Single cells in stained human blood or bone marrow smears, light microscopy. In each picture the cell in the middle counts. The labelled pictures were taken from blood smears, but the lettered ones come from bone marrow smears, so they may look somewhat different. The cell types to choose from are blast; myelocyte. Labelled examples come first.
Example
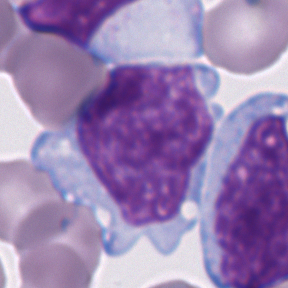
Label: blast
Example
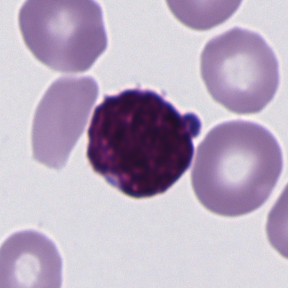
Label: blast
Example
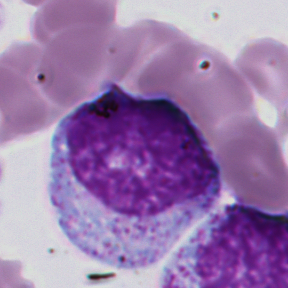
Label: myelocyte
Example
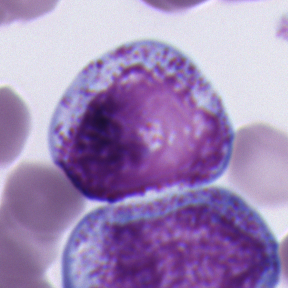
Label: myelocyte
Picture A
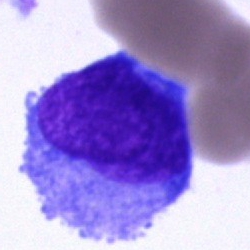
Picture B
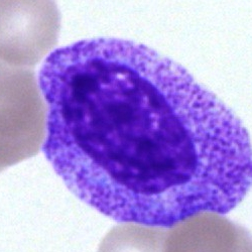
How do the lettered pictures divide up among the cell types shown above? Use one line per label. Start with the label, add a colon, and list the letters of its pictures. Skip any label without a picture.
blast: A
myelocyte: B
